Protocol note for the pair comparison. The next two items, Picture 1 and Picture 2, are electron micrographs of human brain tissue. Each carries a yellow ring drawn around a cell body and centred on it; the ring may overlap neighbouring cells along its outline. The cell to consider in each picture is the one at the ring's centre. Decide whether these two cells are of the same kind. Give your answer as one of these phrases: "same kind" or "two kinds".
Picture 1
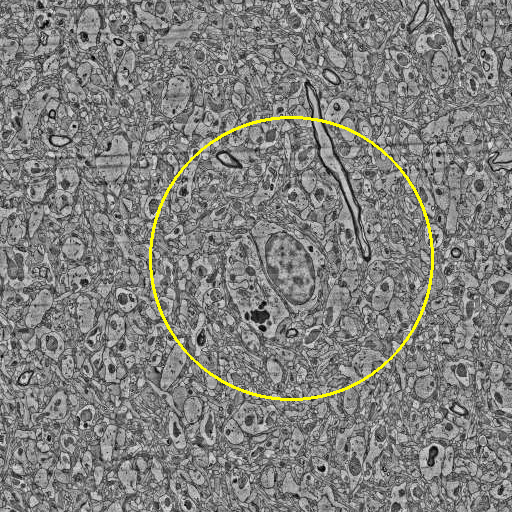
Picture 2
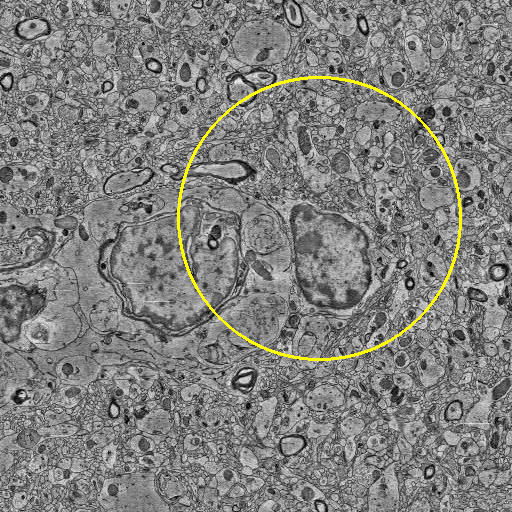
same kind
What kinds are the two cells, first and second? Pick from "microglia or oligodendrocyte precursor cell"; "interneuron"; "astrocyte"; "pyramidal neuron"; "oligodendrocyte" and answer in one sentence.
Each of the two pictures has a microglial cell or oligodendrocyte precursor cell at the ring centre.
